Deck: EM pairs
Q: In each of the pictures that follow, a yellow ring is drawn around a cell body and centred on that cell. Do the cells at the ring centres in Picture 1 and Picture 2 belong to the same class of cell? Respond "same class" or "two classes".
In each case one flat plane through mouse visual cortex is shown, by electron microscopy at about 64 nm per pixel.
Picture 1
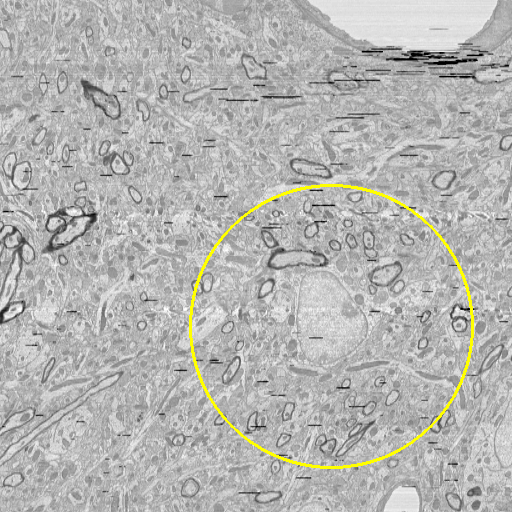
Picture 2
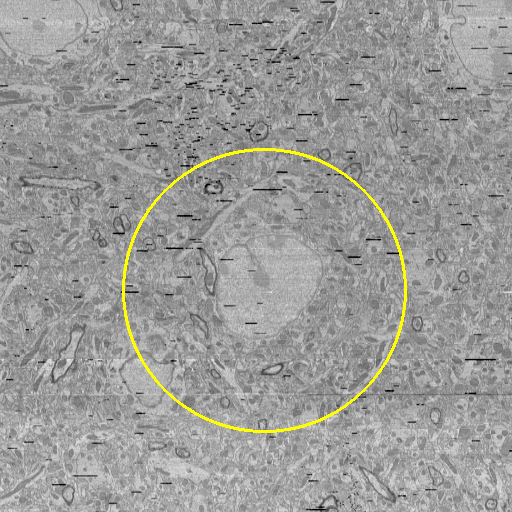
same class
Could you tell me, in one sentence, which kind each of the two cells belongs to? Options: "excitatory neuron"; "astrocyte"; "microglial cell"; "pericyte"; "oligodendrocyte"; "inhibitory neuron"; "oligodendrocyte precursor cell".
Each of the two pictures has an astrocyte at the ring centre.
